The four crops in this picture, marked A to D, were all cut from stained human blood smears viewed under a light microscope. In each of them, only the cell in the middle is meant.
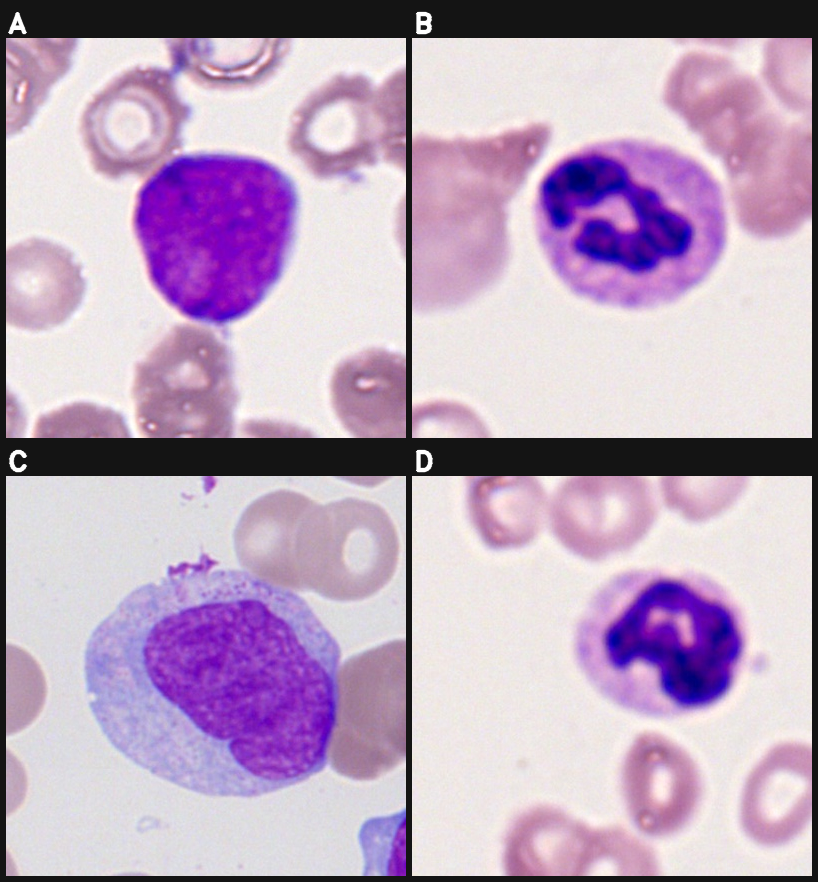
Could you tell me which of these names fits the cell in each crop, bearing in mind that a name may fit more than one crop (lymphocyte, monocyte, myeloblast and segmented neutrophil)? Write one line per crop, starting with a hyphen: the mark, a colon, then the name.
- A: myeloblast
- B: segmented neutrophil
- C: monocyte
- D: segmented neutrophil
